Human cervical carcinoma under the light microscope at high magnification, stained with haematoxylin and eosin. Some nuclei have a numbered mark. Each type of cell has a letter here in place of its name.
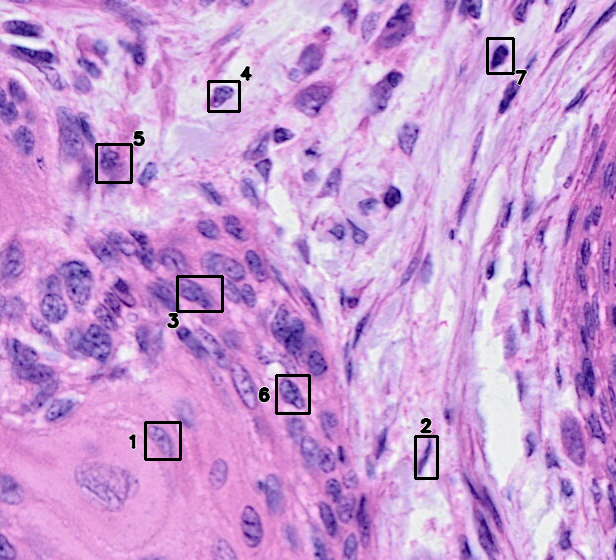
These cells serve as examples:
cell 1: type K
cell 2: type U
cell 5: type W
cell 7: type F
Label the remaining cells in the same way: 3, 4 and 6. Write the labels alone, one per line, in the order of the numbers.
type K
type F
type K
